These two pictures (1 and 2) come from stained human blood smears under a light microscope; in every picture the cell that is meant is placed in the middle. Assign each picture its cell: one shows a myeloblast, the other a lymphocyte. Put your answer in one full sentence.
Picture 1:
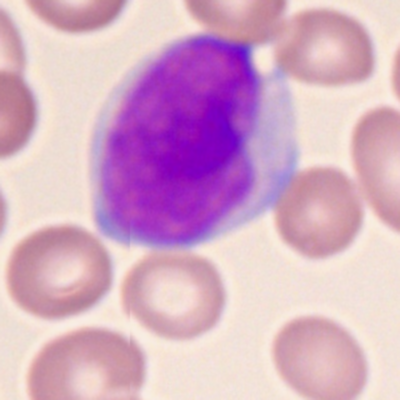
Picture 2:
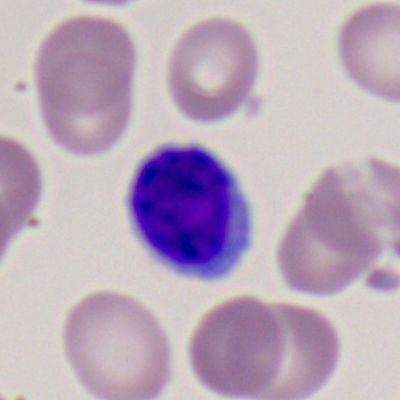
Picture 1 is of a myeloblast, and picture 2 is of a lymphocyte.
